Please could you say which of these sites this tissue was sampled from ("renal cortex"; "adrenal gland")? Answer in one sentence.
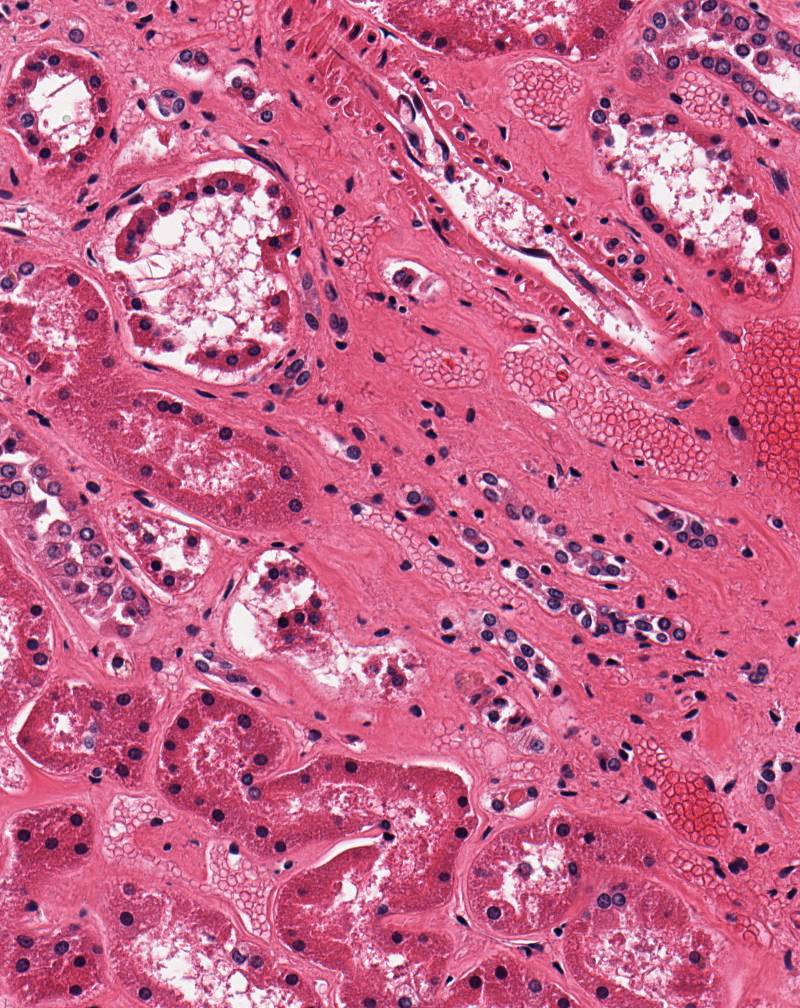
The site this tissue was sampled from is the renal cortex.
